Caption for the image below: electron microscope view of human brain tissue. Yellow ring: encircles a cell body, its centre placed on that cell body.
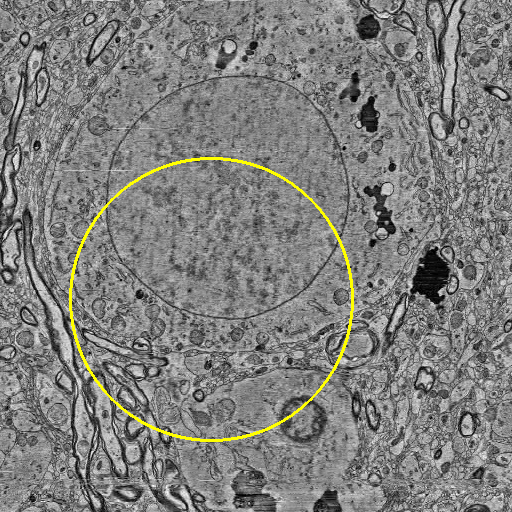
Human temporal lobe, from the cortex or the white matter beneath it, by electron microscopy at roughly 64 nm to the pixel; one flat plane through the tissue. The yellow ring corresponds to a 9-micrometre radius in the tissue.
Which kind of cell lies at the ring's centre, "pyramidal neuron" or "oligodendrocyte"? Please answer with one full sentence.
The picture shows a pyramidal neuron at the centre of the yellow ring.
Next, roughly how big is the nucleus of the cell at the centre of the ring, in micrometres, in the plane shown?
The nucleus measures about 16 micrometers across in this plane.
